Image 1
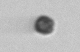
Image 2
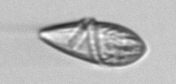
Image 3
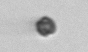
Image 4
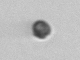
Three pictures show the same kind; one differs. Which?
Picture 2: Gyrodinium, while the others are Gephyrocapsa huxleyi.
